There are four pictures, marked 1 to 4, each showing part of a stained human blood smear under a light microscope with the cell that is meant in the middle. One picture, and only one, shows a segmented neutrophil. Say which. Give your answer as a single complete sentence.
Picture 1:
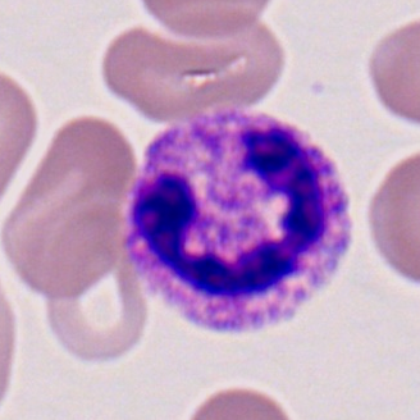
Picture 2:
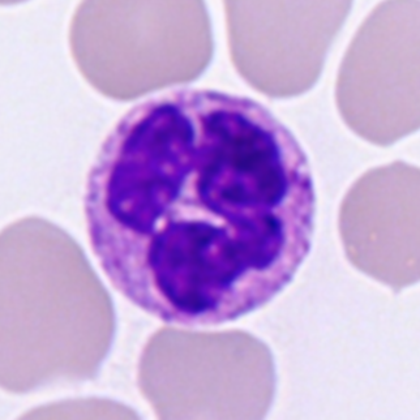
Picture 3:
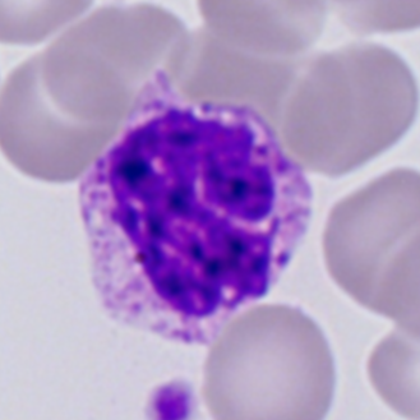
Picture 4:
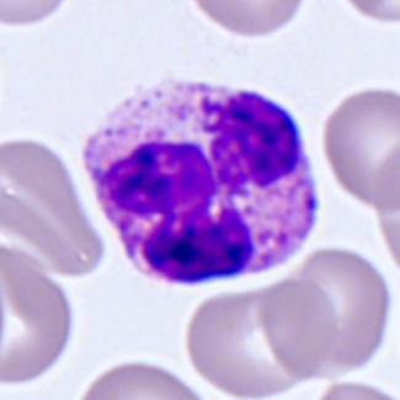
The segmented neutrophil is the one in picture 1.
